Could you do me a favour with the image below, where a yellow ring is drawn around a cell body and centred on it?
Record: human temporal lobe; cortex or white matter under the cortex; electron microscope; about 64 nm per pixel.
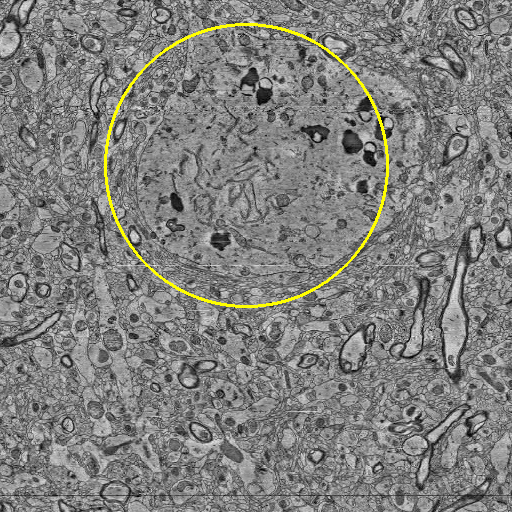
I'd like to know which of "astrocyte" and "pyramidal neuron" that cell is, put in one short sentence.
The cell at the ring's centre is a pyramidal neuron.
